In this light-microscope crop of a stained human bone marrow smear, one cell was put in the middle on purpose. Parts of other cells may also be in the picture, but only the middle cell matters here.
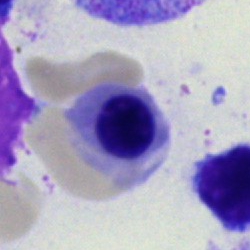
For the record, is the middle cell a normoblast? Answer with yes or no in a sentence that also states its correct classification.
Yes, placed in the middle of the crop is a normoblast.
